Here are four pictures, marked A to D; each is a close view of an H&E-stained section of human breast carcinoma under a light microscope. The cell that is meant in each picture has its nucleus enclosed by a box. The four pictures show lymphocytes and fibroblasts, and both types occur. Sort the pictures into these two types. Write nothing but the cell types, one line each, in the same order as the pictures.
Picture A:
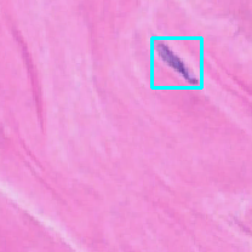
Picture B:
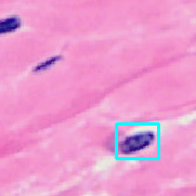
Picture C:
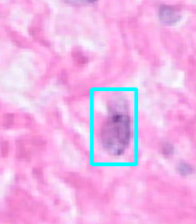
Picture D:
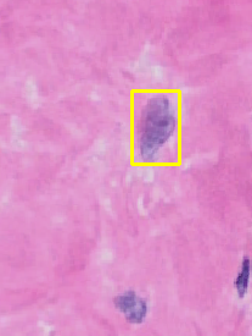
fibroblast
lymphocyte
fibroblast
fibroblast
